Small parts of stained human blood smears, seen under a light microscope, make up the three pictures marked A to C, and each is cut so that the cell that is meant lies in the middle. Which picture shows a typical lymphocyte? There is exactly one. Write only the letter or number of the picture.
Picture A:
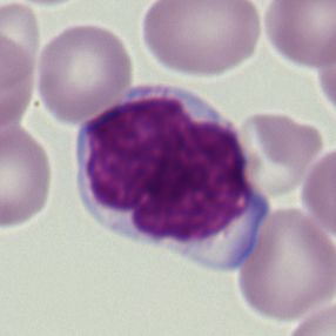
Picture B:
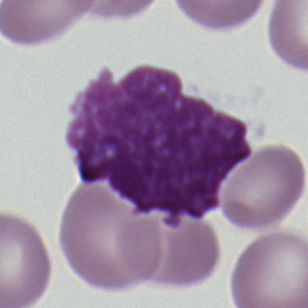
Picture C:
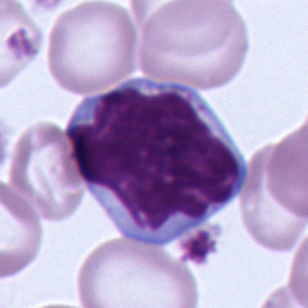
C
